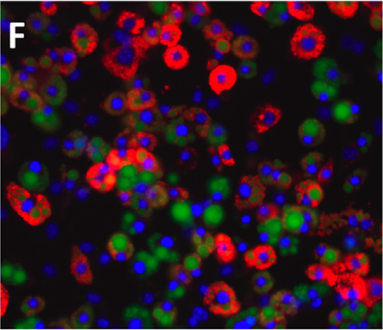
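Cultured adipocytes in fluorescence, rounded cells scattered over a dark field. Many cells contain round green lipid droplets of various sizes, with small blue nuclei at the cell edge. A bright red label outlines droplets and fills the cytoplasm of a subset of cells, some appearing as intensely red rounded bodies with granular texture, others with red rims around green droplets. Other cells carry only green droplets and little red. Small blue nuclei of cells without droplets lie between the rounded droplet-filled cells.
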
